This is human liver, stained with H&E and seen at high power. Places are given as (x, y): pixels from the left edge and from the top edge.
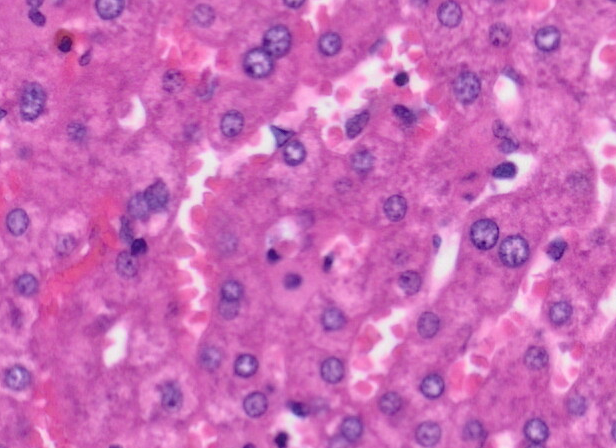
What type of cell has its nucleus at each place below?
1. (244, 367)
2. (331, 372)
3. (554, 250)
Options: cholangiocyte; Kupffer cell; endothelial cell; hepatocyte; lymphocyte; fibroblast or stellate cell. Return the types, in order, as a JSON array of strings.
["hepatocyte", "hepatocyte", "endothelial cell"]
